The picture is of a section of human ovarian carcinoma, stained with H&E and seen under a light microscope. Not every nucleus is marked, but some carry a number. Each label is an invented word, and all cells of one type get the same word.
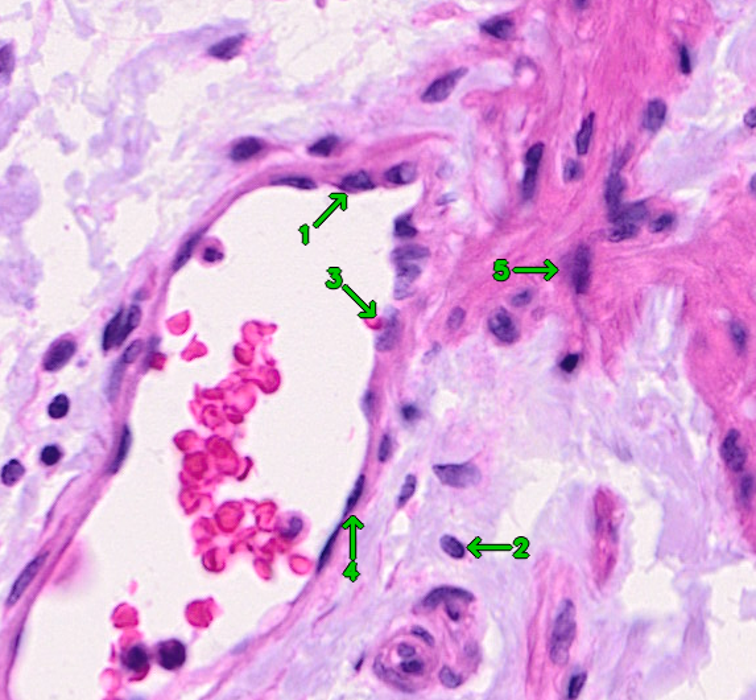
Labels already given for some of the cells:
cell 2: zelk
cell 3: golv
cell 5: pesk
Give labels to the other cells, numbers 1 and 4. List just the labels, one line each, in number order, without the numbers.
golv
golv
